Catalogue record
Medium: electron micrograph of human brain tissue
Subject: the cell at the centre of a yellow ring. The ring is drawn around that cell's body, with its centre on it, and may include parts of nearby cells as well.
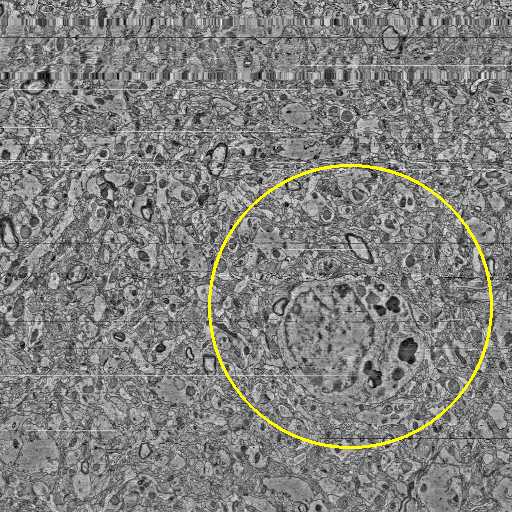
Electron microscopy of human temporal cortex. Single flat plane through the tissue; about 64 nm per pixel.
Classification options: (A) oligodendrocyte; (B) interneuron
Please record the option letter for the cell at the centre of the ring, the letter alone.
B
